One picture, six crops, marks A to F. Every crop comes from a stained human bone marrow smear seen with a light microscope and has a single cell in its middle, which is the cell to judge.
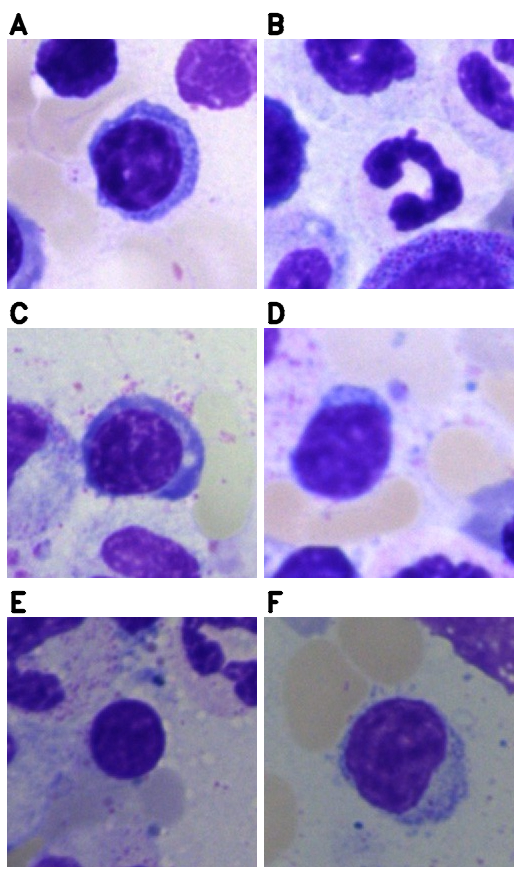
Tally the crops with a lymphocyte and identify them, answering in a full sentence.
Taken together, crops A, D, E and F make up the four that show lymphocytes.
